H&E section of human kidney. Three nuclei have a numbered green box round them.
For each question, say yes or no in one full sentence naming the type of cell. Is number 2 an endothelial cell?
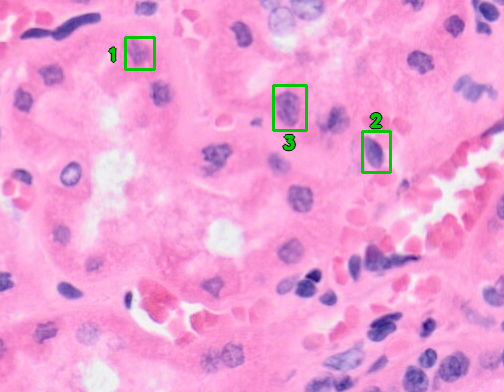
Yes, the cell pointed out as number 2 is an endothelial cell.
